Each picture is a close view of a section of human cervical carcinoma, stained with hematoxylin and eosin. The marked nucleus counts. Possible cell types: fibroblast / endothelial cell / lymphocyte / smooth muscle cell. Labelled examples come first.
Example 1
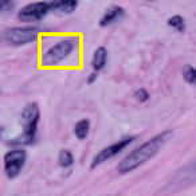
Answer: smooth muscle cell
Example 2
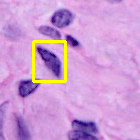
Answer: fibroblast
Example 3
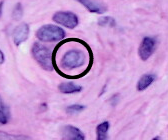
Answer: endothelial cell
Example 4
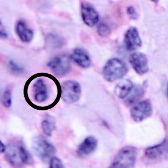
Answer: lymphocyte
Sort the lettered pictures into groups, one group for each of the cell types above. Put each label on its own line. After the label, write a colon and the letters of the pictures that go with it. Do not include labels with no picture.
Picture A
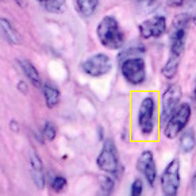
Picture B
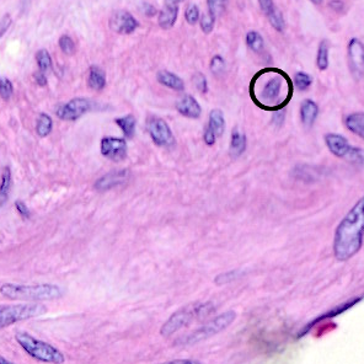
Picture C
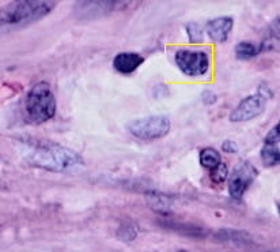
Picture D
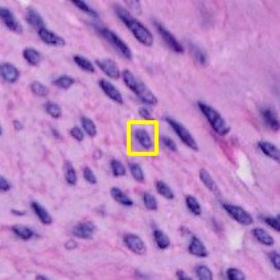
lymphocyte: A, C
smooth muscle cell: B, D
